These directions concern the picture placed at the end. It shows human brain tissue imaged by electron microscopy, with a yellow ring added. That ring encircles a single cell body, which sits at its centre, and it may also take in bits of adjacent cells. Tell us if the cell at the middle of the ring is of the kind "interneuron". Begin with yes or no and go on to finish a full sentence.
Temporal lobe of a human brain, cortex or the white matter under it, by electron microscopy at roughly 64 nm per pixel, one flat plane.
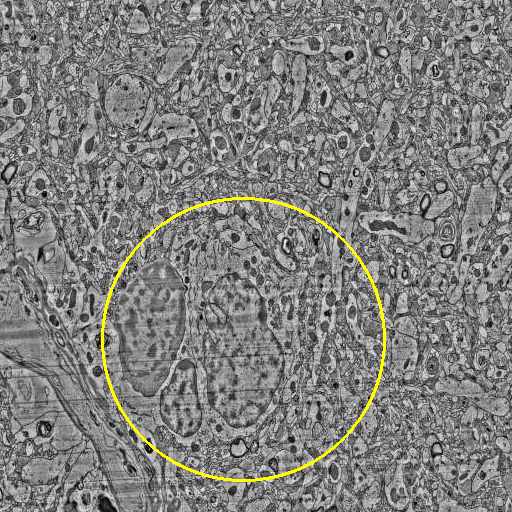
Yes, the cell sitting at the centre of the yellow ring in the picture is of that kind.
